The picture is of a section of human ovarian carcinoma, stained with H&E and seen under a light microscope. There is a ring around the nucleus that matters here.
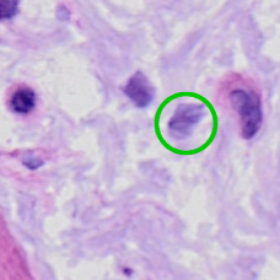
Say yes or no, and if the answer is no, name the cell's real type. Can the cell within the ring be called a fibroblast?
Yes.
